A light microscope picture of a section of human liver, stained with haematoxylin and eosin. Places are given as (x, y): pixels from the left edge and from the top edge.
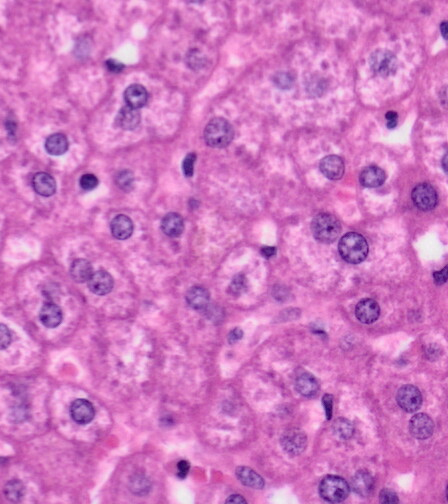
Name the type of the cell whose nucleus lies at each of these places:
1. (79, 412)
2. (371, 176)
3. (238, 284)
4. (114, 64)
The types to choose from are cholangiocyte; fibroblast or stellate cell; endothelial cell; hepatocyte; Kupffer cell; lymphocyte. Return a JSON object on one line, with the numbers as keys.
{"1": "hepatocyte", "2": "hepatocyte", "3": "hepatocyte", "4": "endothelial cell"}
